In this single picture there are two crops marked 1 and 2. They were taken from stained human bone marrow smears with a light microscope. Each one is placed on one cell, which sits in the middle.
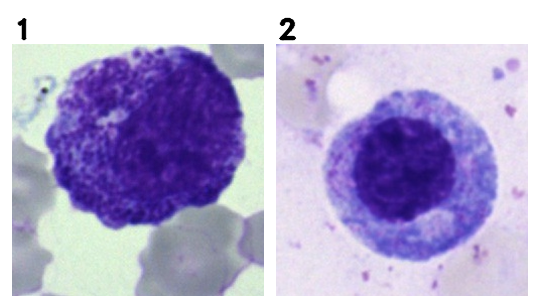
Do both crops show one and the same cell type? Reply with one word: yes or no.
yes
